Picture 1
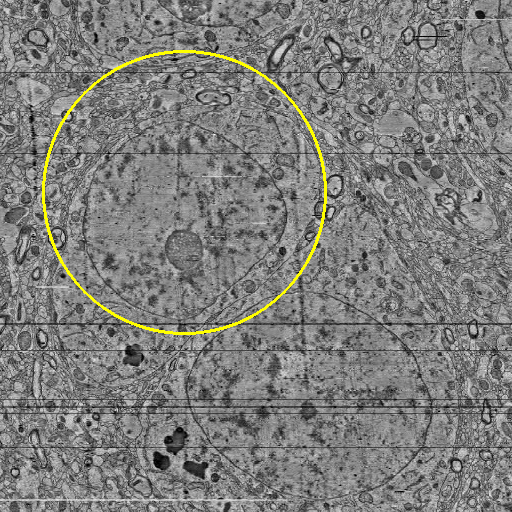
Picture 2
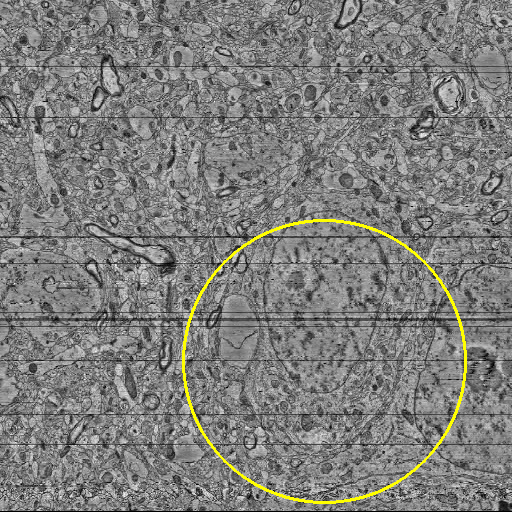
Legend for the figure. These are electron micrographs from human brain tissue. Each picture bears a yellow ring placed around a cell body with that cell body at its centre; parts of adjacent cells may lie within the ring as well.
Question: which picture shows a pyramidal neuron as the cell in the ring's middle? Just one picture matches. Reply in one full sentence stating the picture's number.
It is picture 1 whose yellow ring is centred on the requested cell.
